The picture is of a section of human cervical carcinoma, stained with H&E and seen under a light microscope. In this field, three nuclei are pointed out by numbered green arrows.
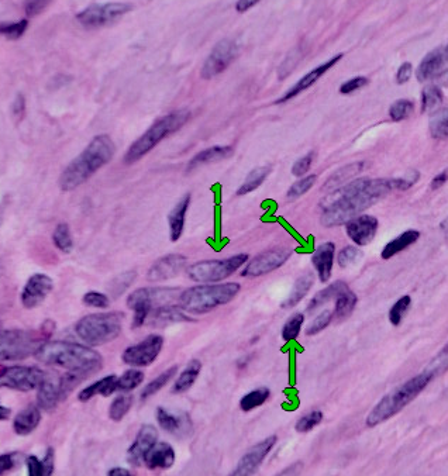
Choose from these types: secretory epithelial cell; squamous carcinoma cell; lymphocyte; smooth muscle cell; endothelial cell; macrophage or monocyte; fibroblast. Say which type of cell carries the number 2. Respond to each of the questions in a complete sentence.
To a lymphocyte belongs the nucleus marked 2.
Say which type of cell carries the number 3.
Number 3 among the marked cells is a lymphocyte.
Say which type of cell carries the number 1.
Identified by the number 1, the cell is an endothelial cell.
